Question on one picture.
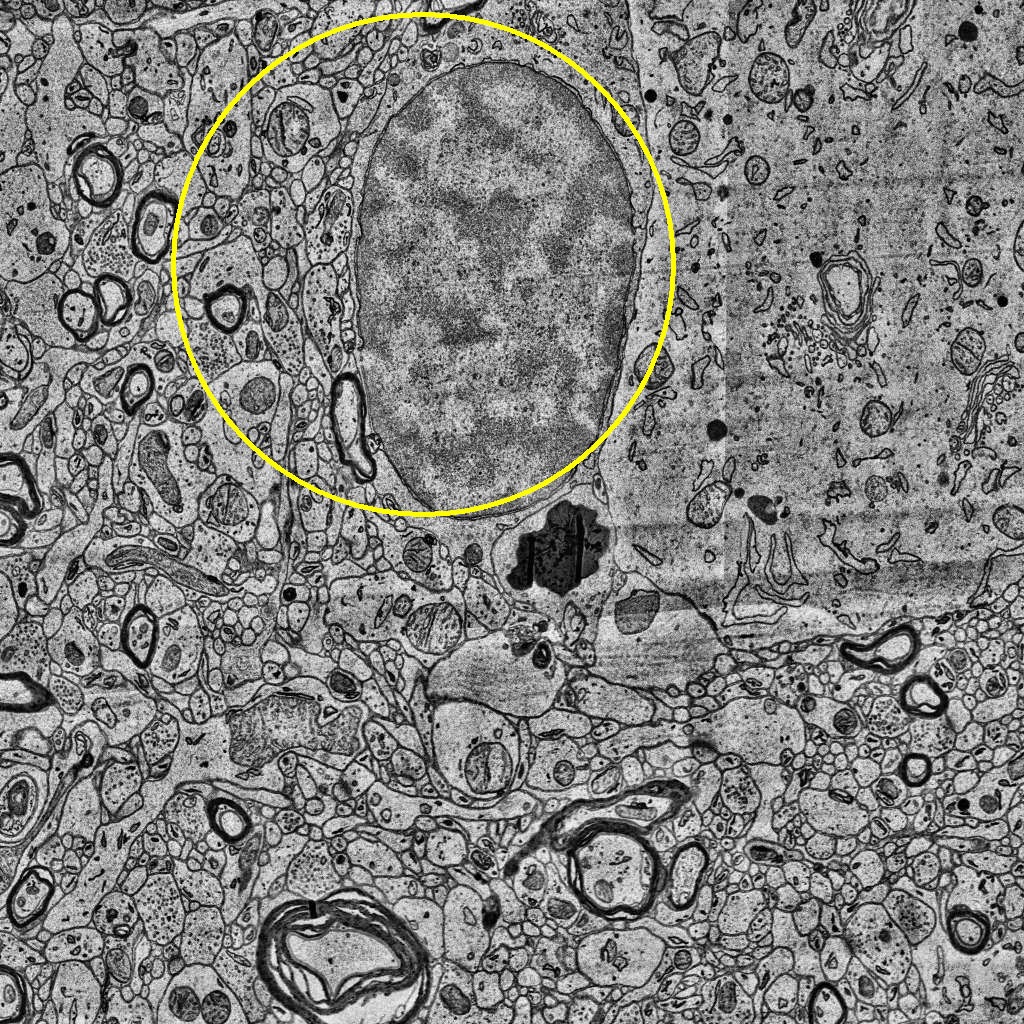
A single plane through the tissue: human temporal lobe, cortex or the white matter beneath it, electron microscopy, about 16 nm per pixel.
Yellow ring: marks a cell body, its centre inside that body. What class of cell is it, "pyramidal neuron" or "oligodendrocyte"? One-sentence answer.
This is an oligodendrocyte, the cell at the ring's centre.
